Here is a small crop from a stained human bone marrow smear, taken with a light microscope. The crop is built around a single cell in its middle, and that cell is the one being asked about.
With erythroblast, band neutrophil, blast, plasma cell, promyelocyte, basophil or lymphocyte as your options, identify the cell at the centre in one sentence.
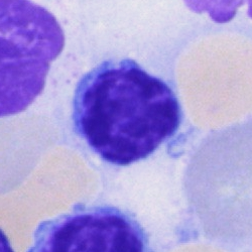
The cell the crop is centered on is a lymphocyte.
